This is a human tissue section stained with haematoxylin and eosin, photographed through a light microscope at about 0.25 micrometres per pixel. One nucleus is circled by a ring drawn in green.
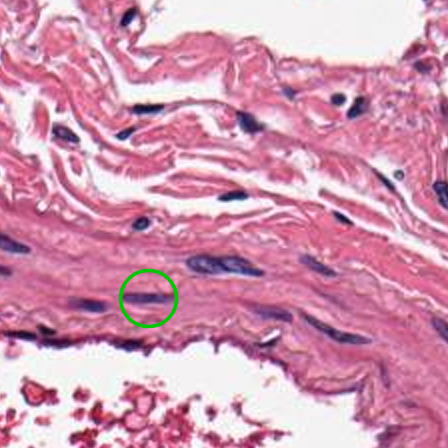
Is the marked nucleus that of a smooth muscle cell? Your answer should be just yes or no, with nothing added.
yes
